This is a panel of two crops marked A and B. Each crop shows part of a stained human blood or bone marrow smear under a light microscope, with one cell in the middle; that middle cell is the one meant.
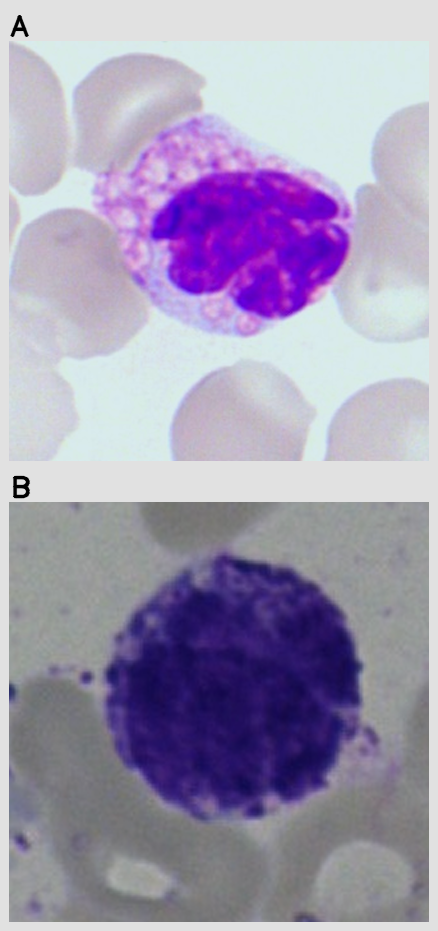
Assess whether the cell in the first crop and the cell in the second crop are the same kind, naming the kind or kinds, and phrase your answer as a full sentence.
Yes, basophils are the cells shown in both crops.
